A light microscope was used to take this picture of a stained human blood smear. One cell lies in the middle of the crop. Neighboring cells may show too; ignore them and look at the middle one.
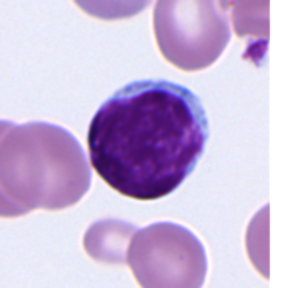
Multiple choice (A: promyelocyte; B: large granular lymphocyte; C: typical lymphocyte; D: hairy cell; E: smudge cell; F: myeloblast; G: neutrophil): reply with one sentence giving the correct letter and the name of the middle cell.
Option C is the right choice, the central cell being a typical lymphocyte.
